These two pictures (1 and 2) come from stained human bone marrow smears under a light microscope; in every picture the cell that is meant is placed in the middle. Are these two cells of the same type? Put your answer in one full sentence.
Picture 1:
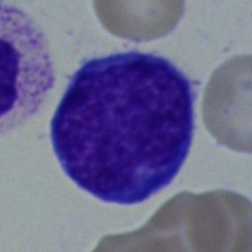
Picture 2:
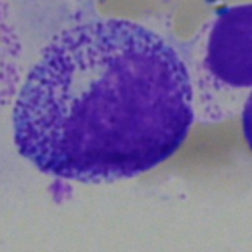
No, picture 1 shows a blast and picture 2 shows a myelocyte.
